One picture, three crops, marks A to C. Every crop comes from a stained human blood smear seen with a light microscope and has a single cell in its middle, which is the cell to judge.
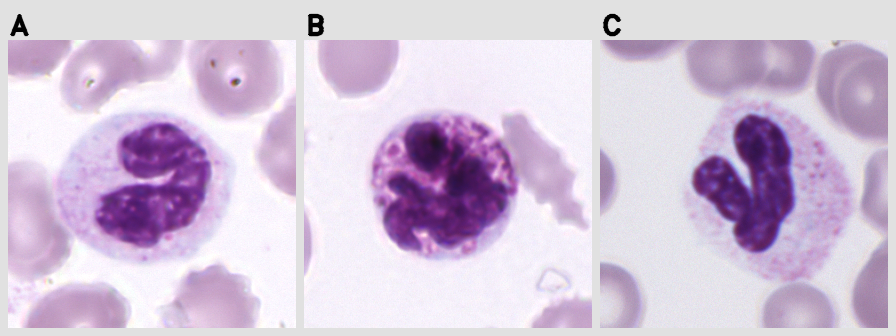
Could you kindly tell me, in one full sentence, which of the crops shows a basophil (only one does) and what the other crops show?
Crop B is where a basophil is shown, whereas crop A is a band neutrophil and crop C is a segmented neutrophil.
